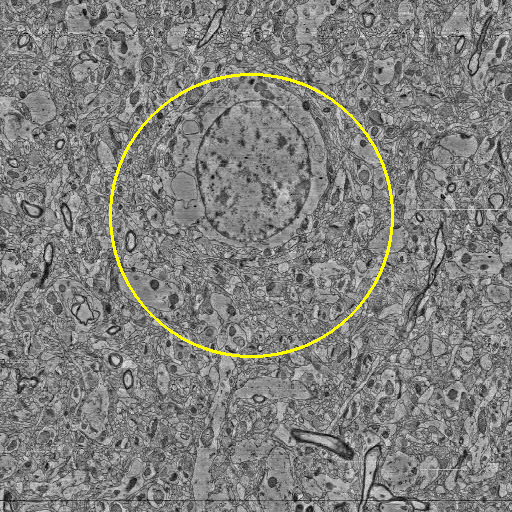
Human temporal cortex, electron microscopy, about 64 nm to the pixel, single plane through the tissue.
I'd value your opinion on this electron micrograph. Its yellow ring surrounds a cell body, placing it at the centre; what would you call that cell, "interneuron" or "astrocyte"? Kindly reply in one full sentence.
It is an astrocyte that sits centred within the yellow ring in this micrograph.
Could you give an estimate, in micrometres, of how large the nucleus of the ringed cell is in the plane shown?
The nucleus works out at approximately 9 by 7 micrometres in this plane.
